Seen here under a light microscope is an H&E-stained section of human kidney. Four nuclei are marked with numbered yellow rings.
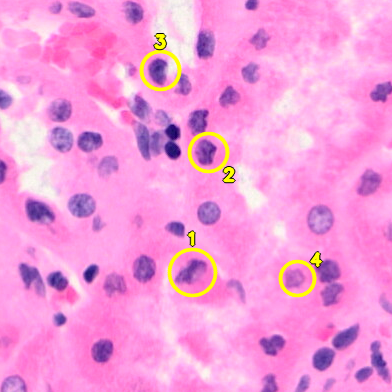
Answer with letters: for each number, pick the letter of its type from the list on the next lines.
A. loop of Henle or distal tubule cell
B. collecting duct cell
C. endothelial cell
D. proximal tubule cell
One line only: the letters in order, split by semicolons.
D; D; A; D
